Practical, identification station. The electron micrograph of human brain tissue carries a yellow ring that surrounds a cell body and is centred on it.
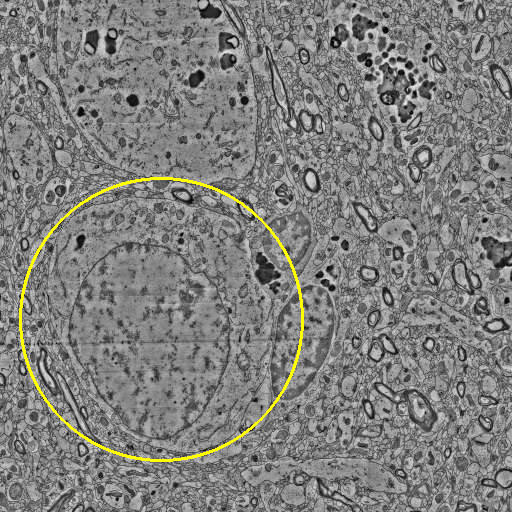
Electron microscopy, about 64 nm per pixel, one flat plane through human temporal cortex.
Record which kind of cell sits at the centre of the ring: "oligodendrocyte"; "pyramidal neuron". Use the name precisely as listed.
pyramidal neuron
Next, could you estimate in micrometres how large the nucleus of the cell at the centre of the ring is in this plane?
In this plane, the nucleus is roughly 13 by 10 micrometres.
